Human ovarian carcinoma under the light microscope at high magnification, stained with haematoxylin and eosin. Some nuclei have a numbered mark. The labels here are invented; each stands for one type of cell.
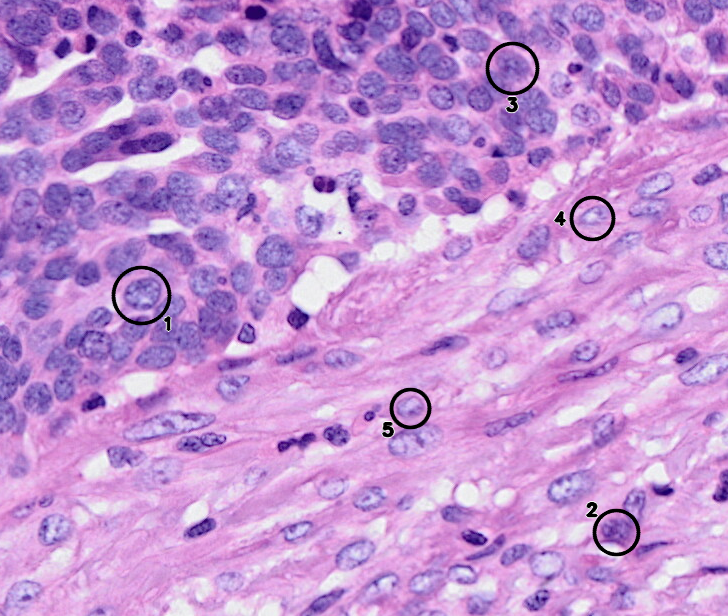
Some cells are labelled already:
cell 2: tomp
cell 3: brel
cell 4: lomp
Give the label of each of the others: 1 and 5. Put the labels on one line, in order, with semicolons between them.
brel; lomp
